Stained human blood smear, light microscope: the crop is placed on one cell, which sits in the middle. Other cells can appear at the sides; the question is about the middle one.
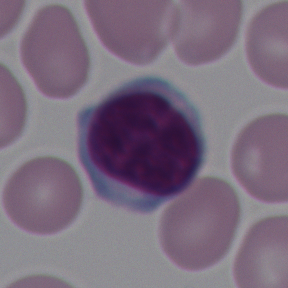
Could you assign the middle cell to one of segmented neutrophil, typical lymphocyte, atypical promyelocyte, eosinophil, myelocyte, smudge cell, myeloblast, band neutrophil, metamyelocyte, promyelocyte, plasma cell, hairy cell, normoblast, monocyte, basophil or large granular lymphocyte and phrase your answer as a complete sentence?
The cell shown in the center of this light-microscope crop is a typical lymphocyte.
